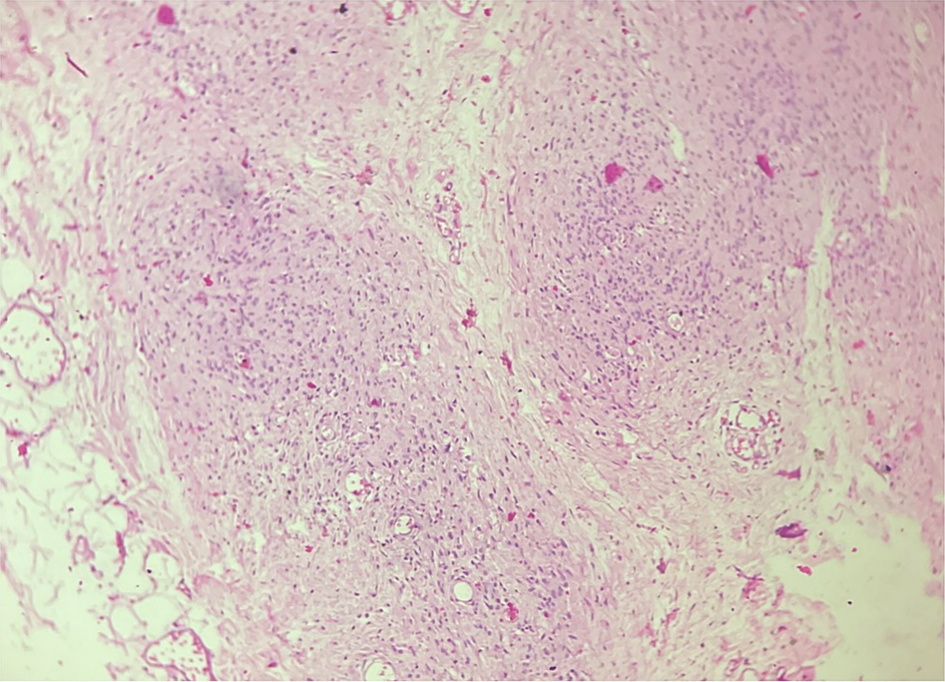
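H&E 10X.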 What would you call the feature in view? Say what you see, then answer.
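Irregularly expanded nerve bundles. Large rounded, lobule-like bundles of densely packed spindle cells fill most of the field. The bundles are of uneven size and shape. Paler fibrous bands separate the bundles.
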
